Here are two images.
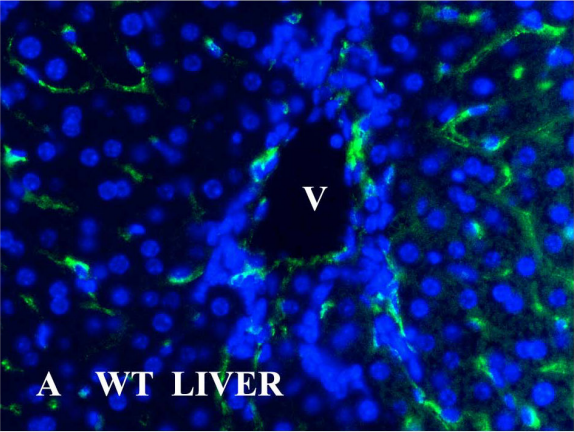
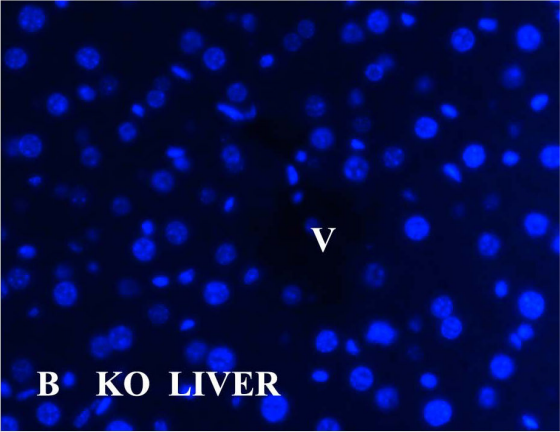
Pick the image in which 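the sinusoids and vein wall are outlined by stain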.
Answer: the first image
